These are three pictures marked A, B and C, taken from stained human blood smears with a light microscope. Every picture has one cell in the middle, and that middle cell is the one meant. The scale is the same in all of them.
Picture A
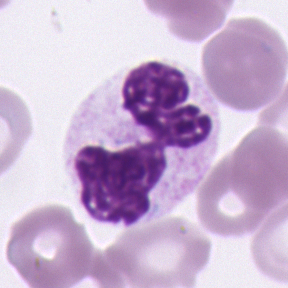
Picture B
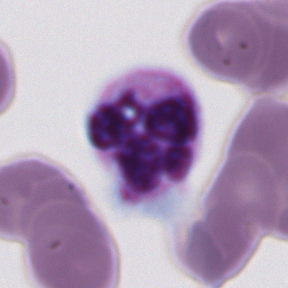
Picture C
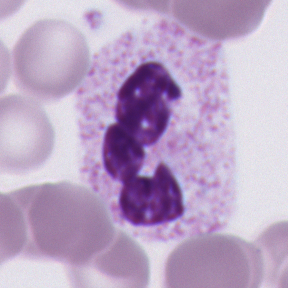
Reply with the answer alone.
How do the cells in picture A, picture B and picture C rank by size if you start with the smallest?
B, A, C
